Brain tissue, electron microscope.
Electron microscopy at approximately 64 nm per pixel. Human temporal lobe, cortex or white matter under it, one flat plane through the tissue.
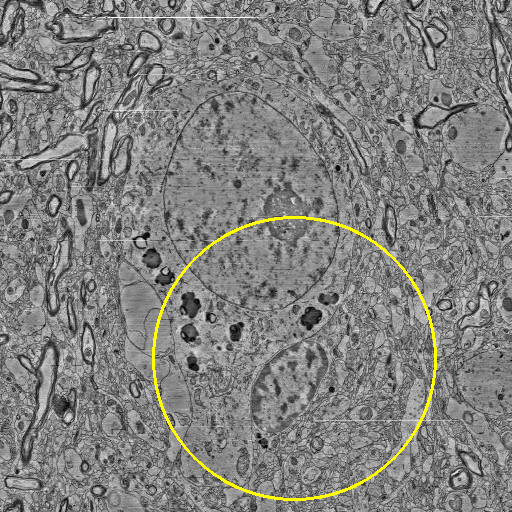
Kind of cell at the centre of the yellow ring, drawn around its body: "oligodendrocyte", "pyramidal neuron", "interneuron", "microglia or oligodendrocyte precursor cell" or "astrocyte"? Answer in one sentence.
The ring's centre falls on a microglial cell or oligodendrocyte precursor cell.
